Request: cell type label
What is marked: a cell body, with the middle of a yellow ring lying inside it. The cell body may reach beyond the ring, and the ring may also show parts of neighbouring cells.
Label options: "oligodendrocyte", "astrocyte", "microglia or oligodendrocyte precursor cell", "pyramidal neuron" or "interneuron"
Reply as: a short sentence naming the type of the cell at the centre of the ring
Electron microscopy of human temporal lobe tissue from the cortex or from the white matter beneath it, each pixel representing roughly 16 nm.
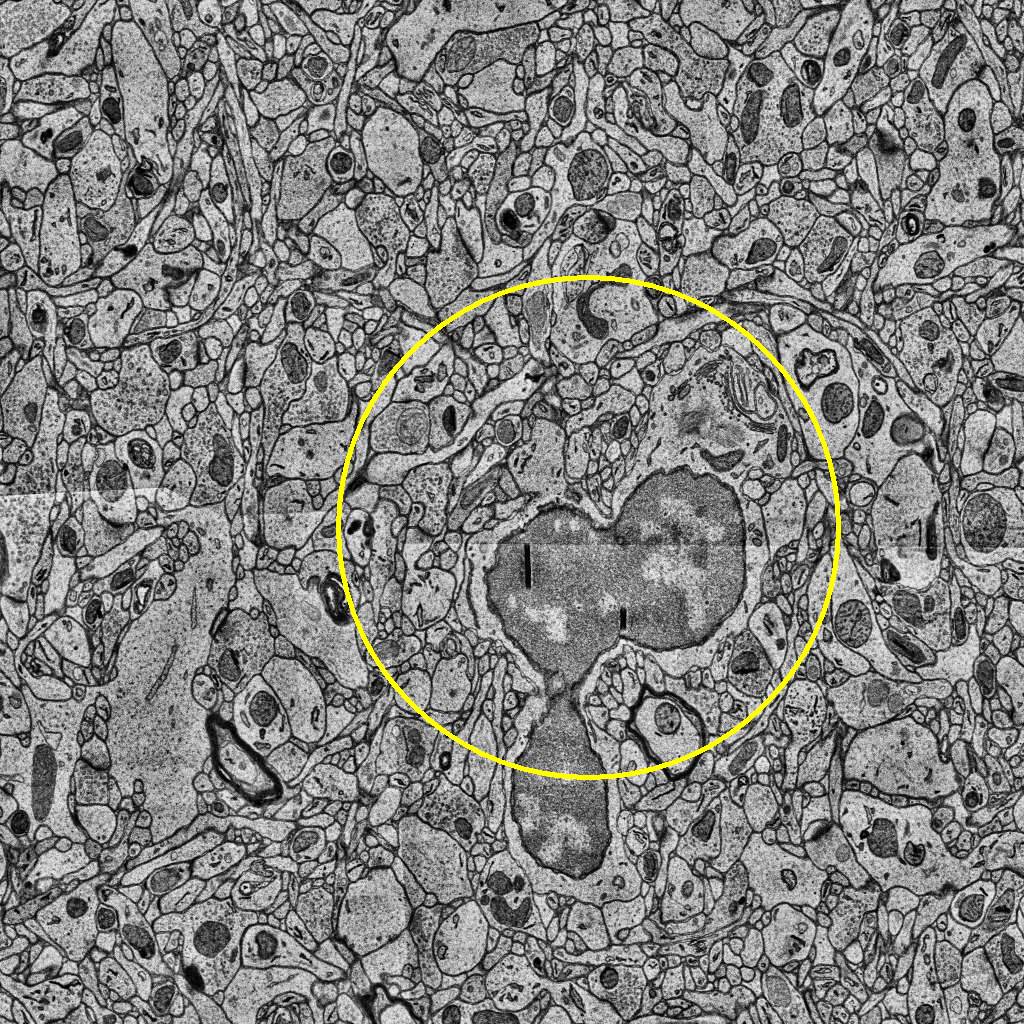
The marked cell body is that of a microglial cell or oligodendrocyte precursor cell.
